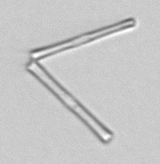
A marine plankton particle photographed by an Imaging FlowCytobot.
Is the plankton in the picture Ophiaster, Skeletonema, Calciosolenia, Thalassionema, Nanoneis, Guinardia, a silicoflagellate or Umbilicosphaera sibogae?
It is Thalassionema.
